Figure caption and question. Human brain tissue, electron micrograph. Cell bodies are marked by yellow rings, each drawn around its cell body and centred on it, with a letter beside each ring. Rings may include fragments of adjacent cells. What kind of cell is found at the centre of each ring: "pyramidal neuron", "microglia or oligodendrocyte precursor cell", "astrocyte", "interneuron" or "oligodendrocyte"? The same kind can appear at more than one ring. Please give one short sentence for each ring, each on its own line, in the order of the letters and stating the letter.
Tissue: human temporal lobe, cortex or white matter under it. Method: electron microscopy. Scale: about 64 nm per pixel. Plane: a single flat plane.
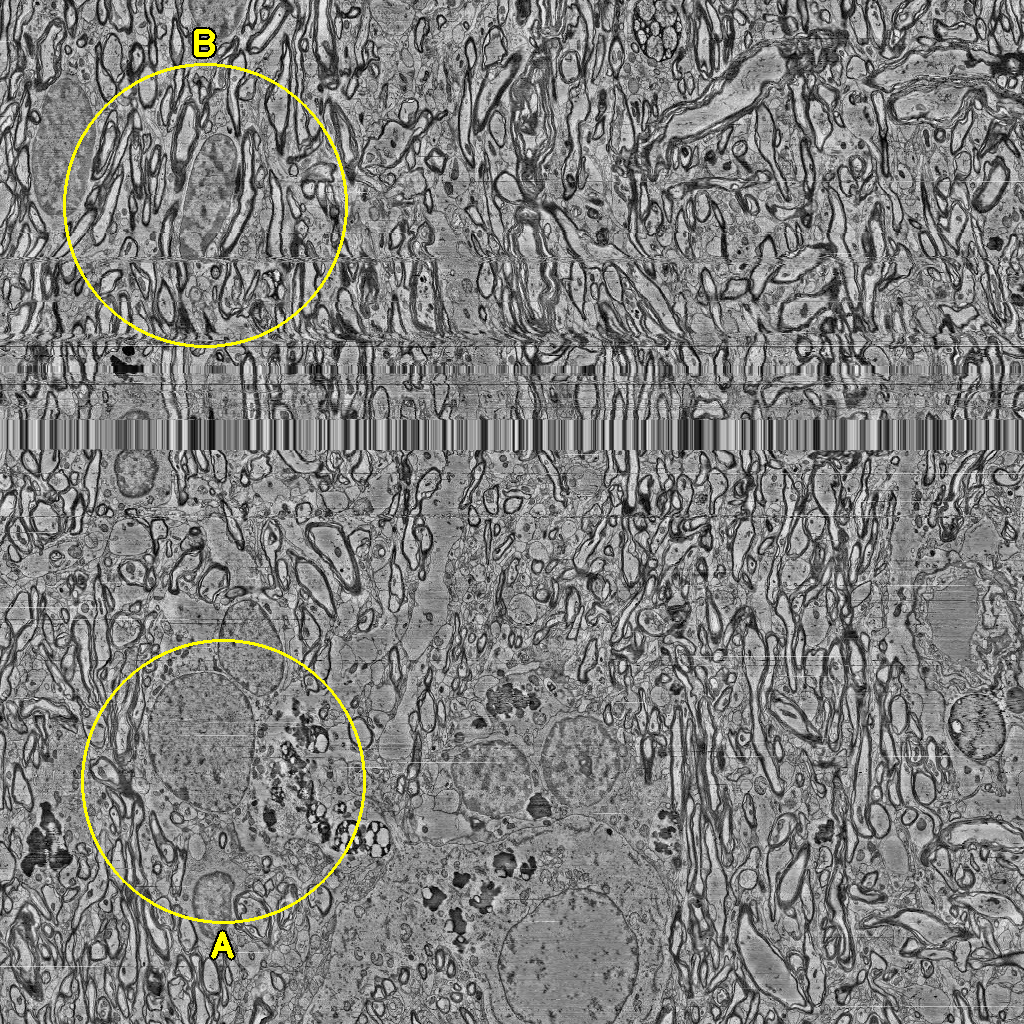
The centre of ring A falls on an astrocyte.
The centre of ring B falls on a microglial cell or oligodendrocyte precursor cell.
